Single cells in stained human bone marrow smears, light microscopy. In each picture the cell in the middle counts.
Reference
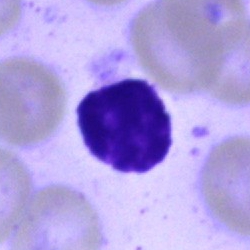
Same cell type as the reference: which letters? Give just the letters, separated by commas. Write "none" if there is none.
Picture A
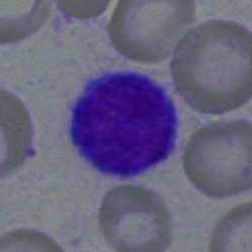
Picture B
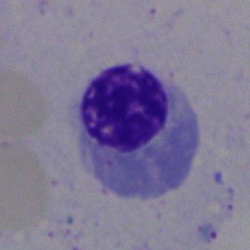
A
